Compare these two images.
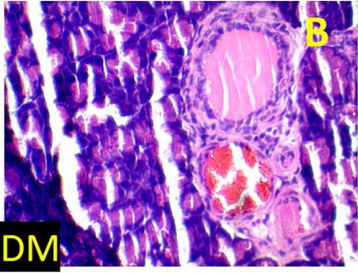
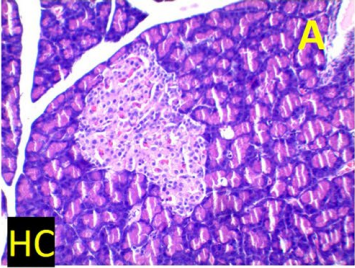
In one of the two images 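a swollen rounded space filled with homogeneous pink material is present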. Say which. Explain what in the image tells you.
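First image: a large rounded cavity filled with uniform pink material lies within the tissue. Second image: the rounded pale area is made of cells with nuclei, with no homogeneous pink-filled space.
Hence: the first image.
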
